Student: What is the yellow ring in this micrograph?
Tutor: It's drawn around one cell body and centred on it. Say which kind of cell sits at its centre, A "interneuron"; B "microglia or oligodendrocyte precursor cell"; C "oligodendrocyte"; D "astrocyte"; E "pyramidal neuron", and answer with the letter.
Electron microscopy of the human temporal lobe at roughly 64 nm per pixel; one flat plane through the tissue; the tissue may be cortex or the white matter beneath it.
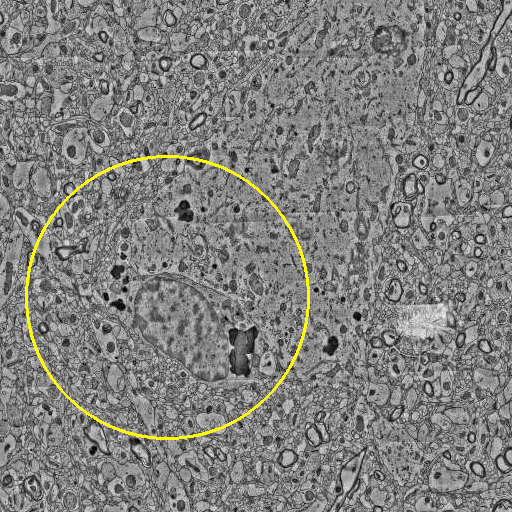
C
